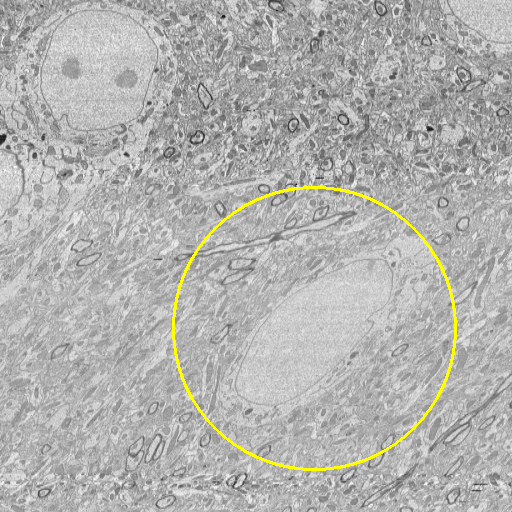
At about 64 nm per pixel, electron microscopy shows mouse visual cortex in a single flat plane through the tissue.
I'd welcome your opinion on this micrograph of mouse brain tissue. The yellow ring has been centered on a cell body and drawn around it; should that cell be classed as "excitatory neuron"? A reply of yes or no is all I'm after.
yes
